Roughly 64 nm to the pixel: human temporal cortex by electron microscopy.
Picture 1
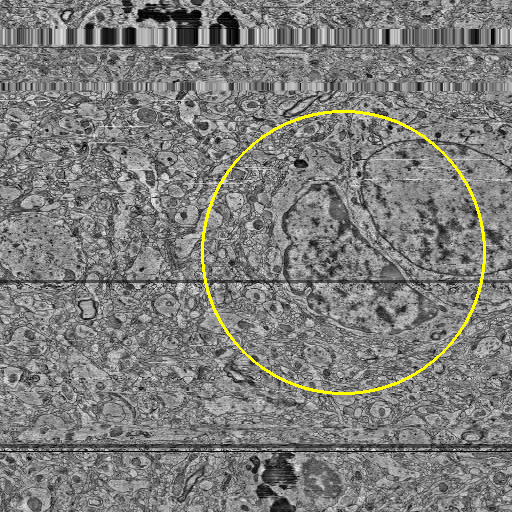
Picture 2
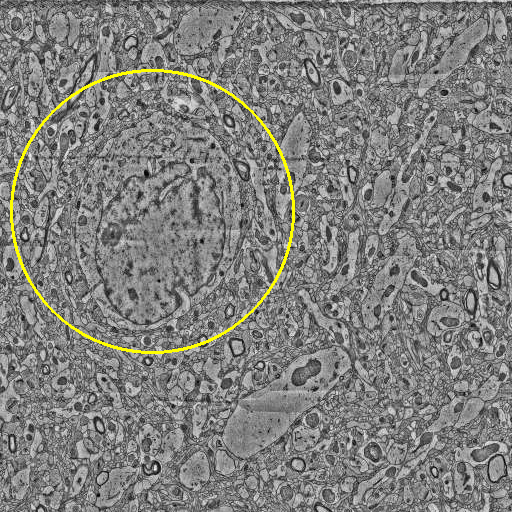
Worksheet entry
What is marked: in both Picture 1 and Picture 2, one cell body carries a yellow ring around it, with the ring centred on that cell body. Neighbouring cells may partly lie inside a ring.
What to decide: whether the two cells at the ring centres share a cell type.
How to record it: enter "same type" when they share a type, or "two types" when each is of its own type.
two types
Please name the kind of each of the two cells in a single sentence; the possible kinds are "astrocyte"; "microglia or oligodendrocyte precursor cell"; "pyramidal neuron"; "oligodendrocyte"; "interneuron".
In the first picture the ring is centred on a microglial cell or oligodendrocyte precursor cell, and in the second on an interneuron.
